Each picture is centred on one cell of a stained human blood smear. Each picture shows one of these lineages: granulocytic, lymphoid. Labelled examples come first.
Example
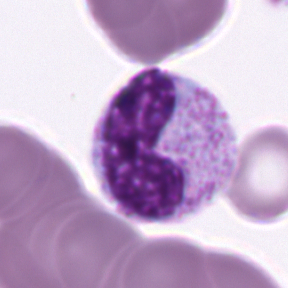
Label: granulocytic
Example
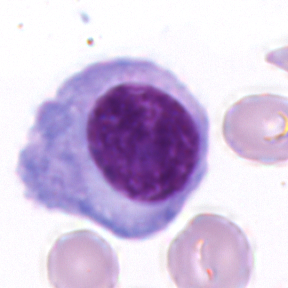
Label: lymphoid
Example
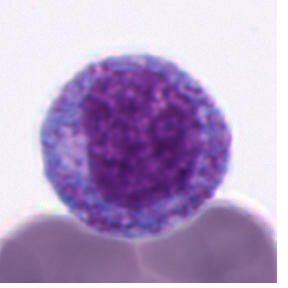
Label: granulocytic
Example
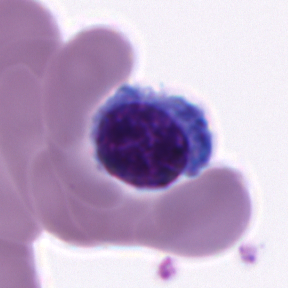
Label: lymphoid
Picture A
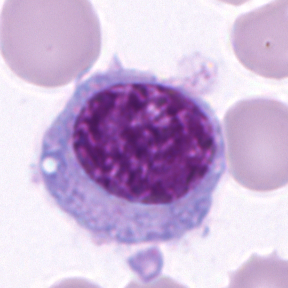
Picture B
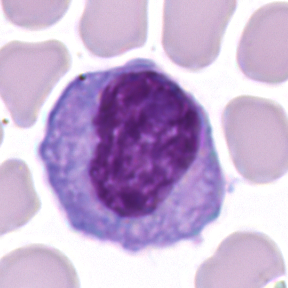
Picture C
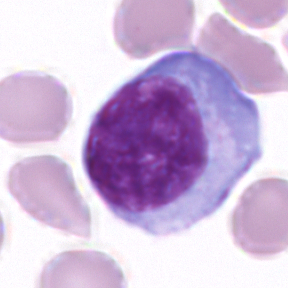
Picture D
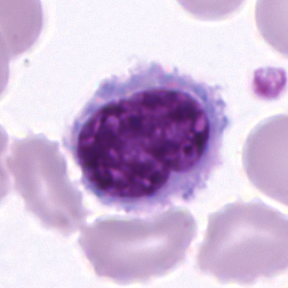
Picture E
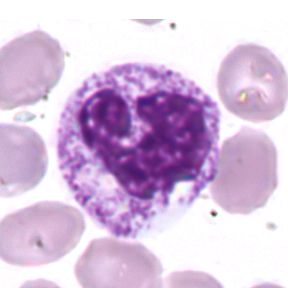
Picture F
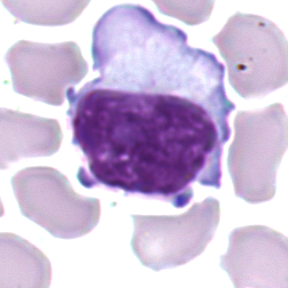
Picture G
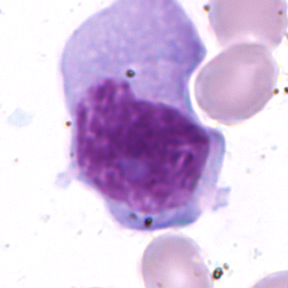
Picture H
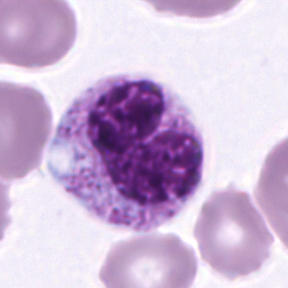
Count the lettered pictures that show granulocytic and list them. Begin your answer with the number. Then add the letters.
2: E, H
